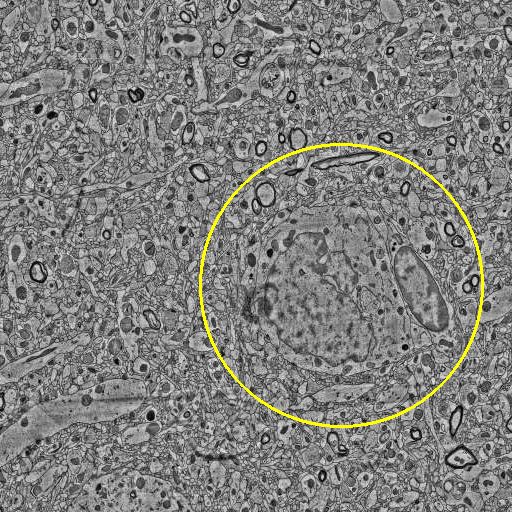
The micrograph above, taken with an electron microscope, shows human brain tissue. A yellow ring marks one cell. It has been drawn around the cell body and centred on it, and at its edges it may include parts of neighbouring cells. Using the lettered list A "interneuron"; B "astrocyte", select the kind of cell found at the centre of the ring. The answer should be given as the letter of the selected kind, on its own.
A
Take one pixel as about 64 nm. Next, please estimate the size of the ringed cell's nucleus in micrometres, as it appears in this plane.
In this plane, the nucleus is roughly 9 by 6 micrometres.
